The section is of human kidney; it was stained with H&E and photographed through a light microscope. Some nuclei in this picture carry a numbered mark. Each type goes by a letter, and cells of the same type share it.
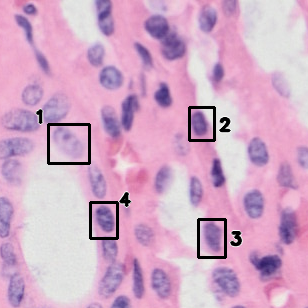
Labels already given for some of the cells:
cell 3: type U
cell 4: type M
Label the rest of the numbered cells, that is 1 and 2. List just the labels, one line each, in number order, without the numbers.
type M
type U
